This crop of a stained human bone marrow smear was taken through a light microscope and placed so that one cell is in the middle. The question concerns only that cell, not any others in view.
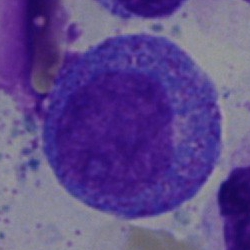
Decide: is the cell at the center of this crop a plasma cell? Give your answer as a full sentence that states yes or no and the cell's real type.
No, the centre cell is not a plasma cell but a promyelocyte.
